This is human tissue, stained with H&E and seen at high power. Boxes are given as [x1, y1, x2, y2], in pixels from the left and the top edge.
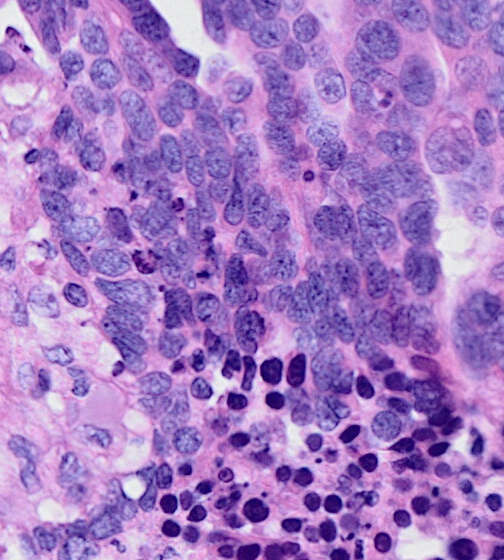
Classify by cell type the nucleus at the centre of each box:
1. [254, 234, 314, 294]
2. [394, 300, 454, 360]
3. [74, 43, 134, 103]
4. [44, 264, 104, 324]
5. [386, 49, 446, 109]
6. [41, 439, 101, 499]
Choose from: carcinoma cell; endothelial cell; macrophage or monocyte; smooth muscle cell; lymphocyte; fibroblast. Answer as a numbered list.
1. carcinoma cell
2. carcinoma cell
3. carcinoma cell
4. macrophage or monocyte
5. carcinoma cell
6. fibroblast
